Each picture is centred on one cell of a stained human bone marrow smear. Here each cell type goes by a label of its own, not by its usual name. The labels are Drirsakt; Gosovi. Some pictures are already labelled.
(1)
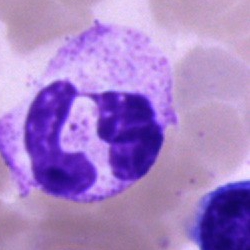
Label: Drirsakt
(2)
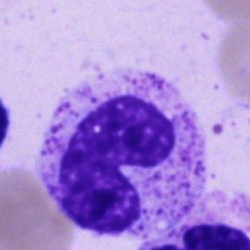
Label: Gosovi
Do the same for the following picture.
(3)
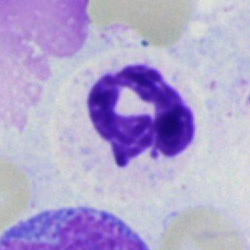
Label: Drirsakt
